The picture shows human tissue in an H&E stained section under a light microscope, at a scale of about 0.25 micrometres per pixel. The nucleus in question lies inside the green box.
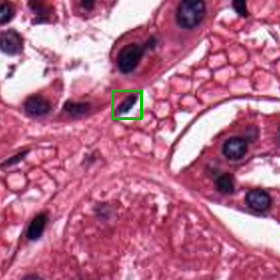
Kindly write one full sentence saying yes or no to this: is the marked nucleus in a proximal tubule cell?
No, it is to a supporting cell that the marked nucleus belongs, not to a proximal tubule cell.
